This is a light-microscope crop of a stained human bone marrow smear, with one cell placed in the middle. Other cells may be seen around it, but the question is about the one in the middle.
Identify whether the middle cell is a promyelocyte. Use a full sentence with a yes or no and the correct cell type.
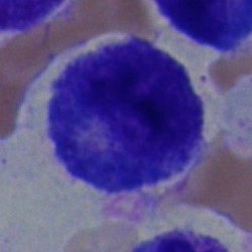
Yes, the cell found in the middle is a promyelocyte.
